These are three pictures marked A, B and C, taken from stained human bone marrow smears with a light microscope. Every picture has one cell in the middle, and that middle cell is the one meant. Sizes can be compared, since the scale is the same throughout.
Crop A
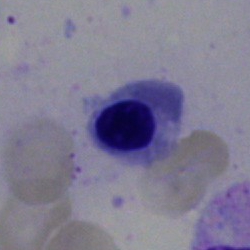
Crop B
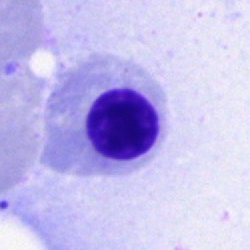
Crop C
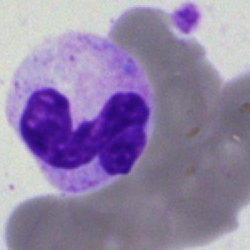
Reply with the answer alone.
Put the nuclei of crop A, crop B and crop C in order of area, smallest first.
A, B, C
